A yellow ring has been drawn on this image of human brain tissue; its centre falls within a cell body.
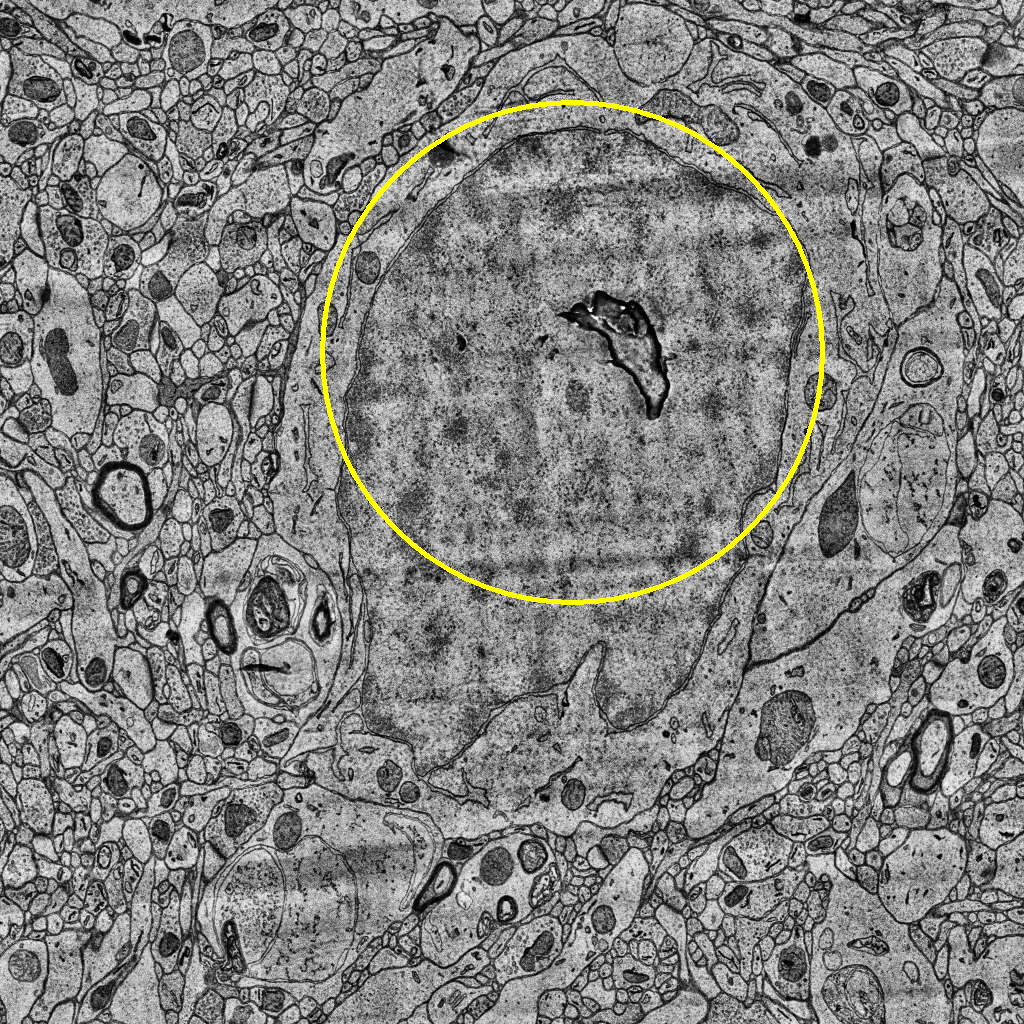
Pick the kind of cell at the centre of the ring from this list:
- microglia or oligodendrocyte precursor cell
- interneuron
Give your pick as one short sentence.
The centre of the ring holds an interneuron.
